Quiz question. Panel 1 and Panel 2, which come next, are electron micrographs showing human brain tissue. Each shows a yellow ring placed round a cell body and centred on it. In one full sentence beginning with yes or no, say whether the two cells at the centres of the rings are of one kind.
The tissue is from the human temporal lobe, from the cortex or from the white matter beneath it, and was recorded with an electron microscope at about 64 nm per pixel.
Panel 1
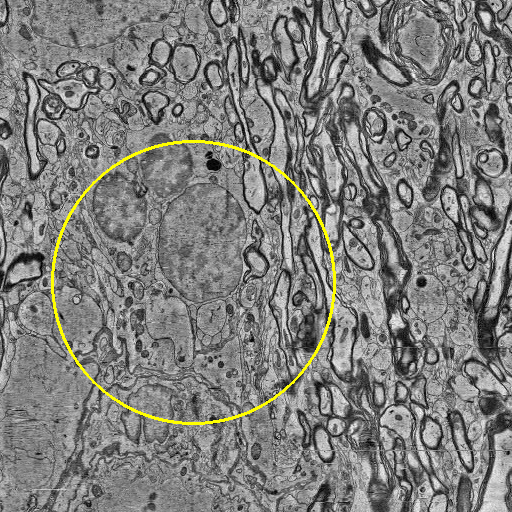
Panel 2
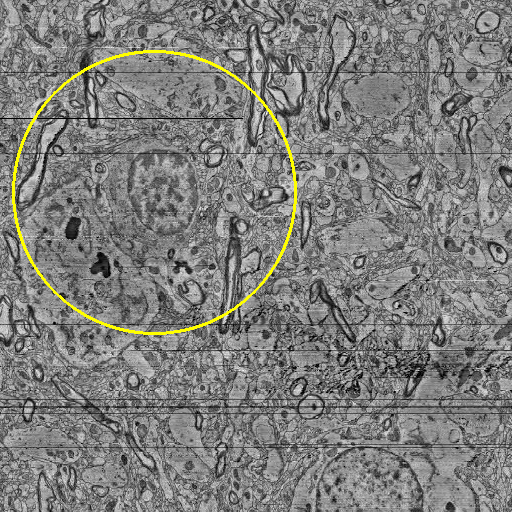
Yes, Panel 1 and Panel 2 show one kind of cell at the centre of the ring.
